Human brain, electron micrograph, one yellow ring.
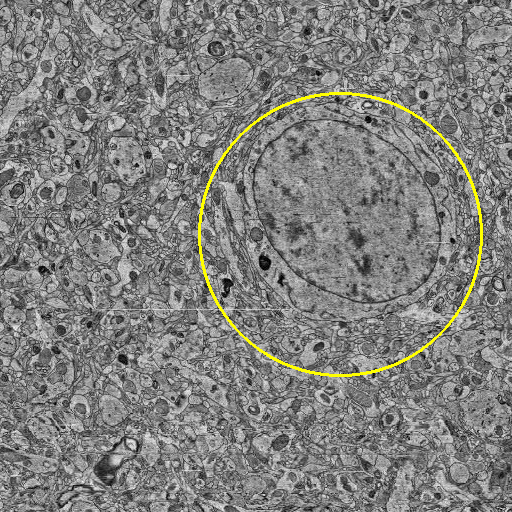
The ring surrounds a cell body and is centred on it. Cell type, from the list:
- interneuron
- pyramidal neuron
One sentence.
The yellow ring circles a pyramidal neuron.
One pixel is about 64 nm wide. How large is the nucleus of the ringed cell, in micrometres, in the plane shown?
In this plane, roughly 13 by 10 micrometres.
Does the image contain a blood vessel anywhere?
No, no blood vessel shows in the picture.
